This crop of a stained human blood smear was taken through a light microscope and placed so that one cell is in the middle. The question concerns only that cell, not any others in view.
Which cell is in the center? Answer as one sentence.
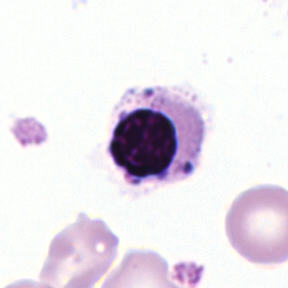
The cell featured at the centre of this crop is a normoblast.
